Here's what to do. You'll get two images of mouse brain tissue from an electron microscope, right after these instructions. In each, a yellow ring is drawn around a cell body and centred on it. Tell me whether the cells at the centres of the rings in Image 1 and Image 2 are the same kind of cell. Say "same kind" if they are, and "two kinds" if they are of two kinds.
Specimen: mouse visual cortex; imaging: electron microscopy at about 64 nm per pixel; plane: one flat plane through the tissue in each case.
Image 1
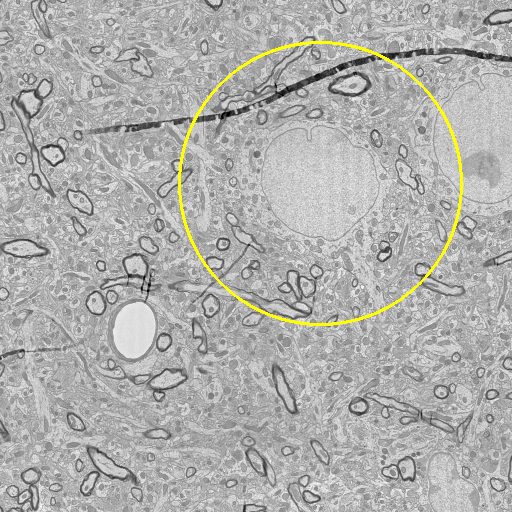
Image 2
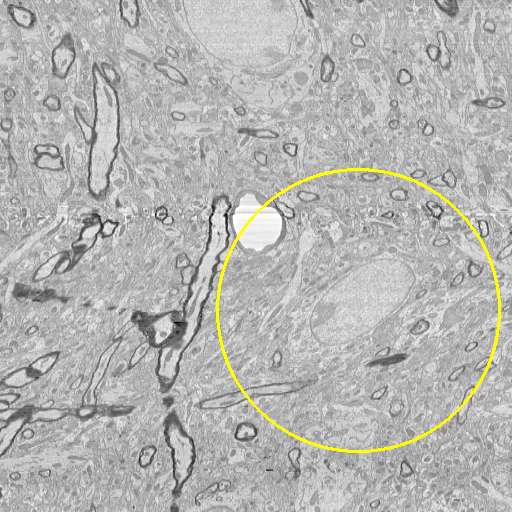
two kinds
